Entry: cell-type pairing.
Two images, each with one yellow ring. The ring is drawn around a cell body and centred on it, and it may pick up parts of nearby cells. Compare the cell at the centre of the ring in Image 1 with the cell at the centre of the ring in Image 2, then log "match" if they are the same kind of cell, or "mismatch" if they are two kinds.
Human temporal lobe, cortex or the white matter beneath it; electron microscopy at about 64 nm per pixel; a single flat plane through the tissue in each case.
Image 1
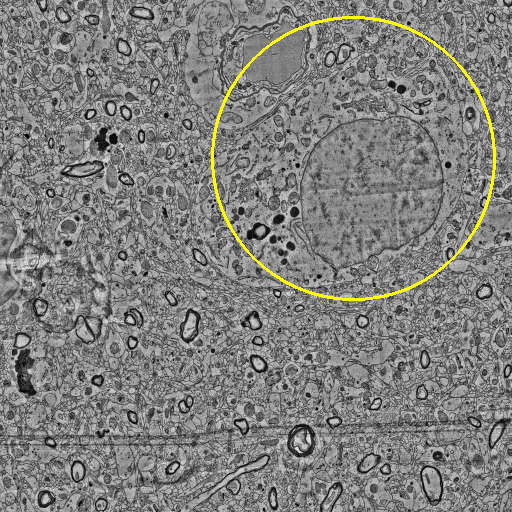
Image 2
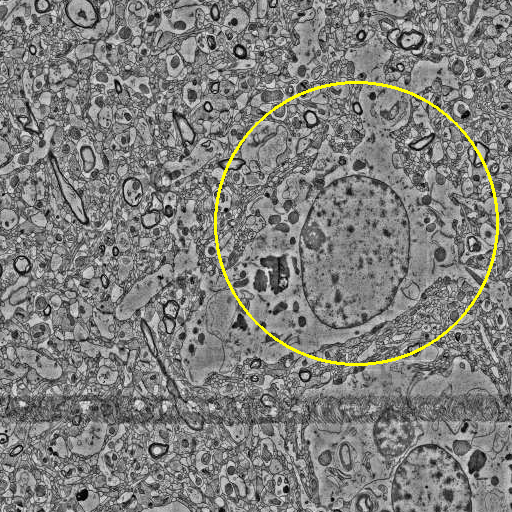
mismatch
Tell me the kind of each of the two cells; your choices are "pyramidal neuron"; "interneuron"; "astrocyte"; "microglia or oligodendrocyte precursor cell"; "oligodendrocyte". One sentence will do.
The ringed cell is an interneuron in the first picture and an astrocyte in the second picture.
